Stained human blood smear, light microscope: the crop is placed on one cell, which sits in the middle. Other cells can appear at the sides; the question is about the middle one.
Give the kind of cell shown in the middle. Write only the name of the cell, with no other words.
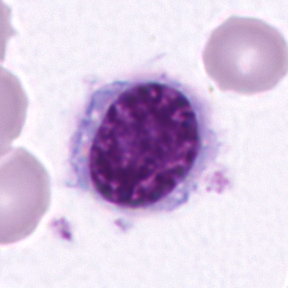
plasma cell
